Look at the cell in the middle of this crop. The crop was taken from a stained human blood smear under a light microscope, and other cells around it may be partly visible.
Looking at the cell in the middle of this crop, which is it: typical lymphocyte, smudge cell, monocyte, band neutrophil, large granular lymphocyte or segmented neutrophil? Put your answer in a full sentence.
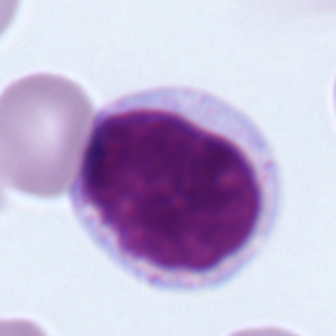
Located at the centre of the crop is a large granular lymphocyte.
